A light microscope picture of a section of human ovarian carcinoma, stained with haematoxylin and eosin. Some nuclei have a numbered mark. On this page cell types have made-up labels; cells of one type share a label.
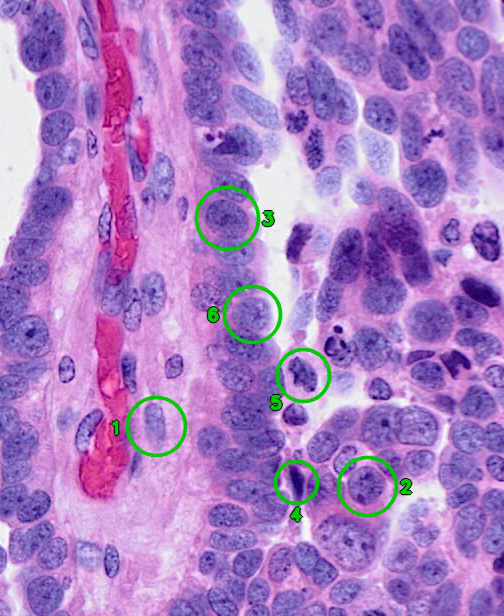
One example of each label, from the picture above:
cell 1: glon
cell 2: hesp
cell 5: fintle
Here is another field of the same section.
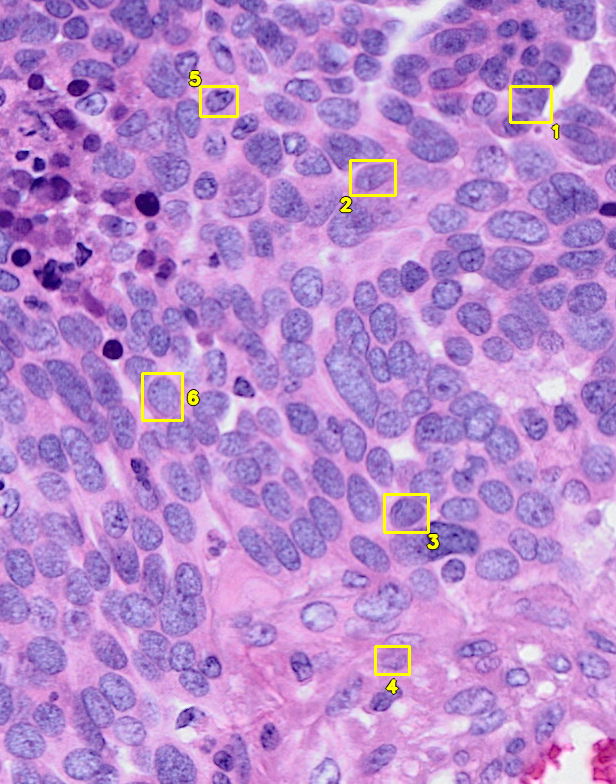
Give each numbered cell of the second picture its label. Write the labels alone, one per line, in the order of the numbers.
hesp
hesp
hesp
glon
fintle
hesp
